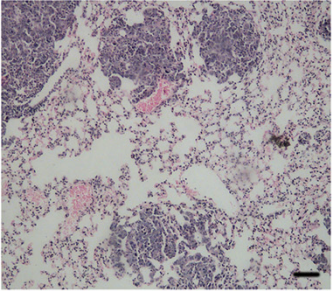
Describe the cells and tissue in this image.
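This section of lung shows several tumor foci lying within otherwise open alveolar tissue. The foci are compact, rounded clusters of densely crowded cells whose nuclei stain dark purple, much darker and more closely packed than the surrounding tissue. Around them the lung keeps its lace-like pattern of thin alveolar walls with scattered nuclei enclosing empty air spaces. Small pink areas of blood-filled vessels lie between the foci.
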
